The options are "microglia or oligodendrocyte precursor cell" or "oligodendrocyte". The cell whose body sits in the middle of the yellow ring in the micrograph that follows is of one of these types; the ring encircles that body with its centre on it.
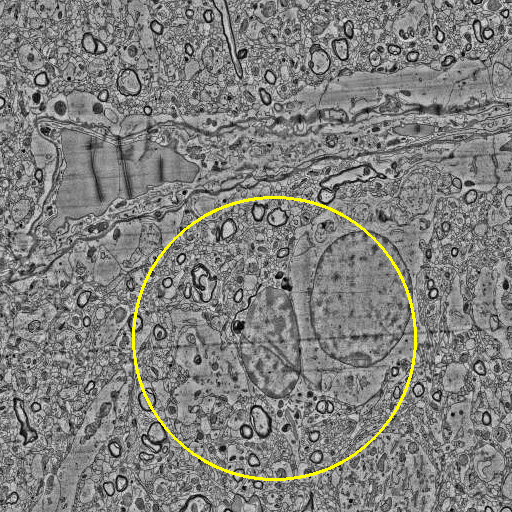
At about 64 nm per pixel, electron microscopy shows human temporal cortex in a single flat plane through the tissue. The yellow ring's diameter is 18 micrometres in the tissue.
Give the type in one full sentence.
Going by the micrograph, the cell centred in the yellow ring is a microglial cell or oligodendrocyte precursor cell.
